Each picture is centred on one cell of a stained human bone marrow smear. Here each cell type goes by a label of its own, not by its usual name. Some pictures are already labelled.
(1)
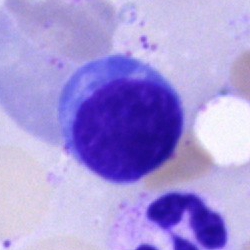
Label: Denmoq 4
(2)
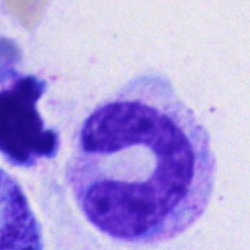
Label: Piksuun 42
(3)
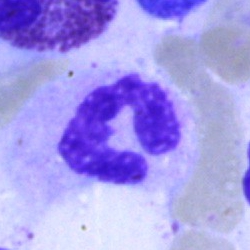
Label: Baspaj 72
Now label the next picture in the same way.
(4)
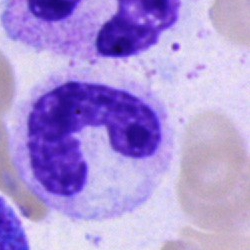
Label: Piksuun 42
